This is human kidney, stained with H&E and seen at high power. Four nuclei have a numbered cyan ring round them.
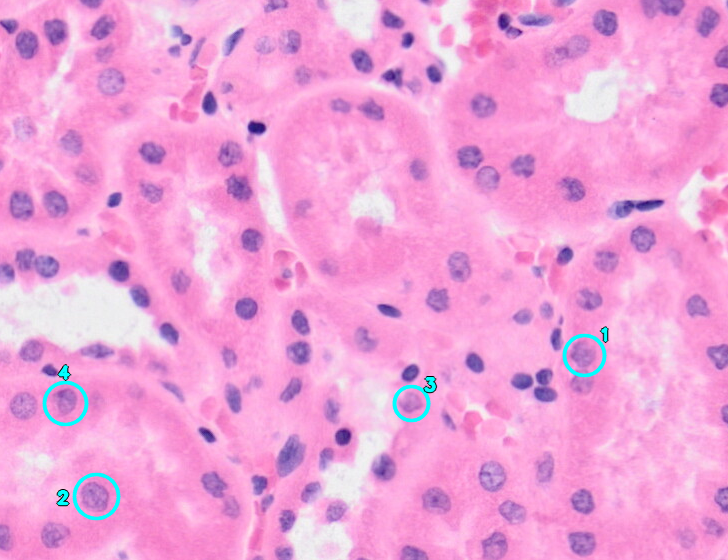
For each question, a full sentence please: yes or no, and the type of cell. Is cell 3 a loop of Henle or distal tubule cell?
Yes, the cell that the number 3 labels is a loop of Henle or distal tubule cell.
